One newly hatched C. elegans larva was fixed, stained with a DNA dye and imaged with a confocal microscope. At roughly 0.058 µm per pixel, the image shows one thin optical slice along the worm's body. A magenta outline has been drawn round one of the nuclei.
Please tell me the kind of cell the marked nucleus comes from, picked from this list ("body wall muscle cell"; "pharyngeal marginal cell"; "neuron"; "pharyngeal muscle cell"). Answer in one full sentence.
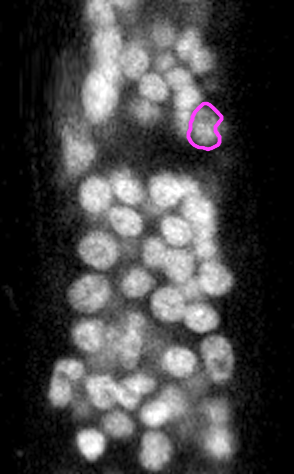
The marked nucleus is that of a body wall muscle cell.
